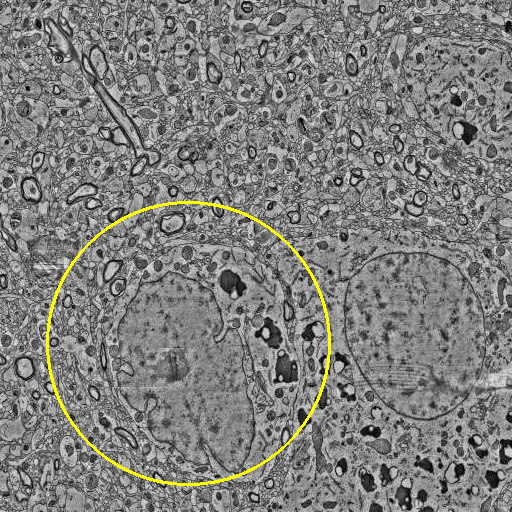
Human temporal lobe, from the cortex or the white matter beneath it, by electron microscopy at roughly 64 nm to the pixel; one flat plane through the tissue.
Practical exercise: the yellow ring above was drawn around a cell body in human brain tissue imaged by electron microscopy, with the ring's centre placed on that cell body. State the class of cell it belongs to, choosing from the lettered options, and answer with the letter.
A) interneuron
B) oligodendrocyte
A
